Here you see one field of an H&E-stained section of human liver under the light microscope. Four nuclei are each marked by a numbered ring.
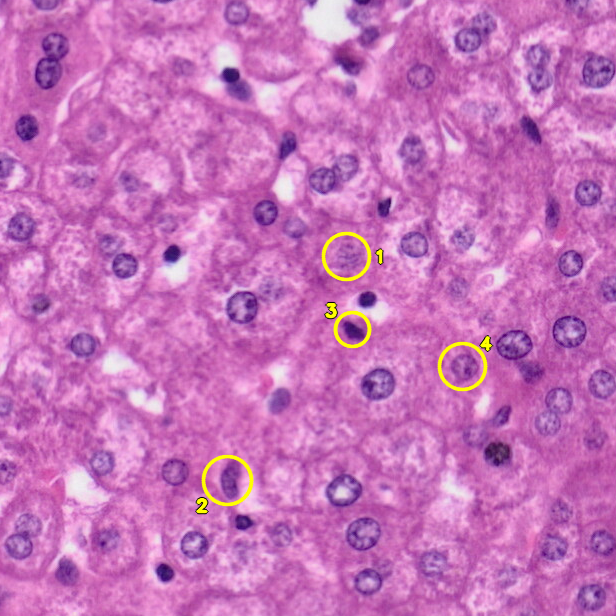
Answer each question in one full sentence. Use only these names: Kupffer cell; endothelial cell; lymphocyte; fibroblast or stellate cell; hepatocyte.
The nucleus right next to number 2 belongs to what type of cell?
The nucleus nearest to number 2 is that of a fibroblast or stellate cell.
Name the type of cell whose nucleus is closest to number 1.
It is a lymphocyte whose nucleus is nearest to number 1.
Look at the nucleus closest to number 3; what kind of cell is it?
Number 3 lies closest to the nucleus of a lymphocyte.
